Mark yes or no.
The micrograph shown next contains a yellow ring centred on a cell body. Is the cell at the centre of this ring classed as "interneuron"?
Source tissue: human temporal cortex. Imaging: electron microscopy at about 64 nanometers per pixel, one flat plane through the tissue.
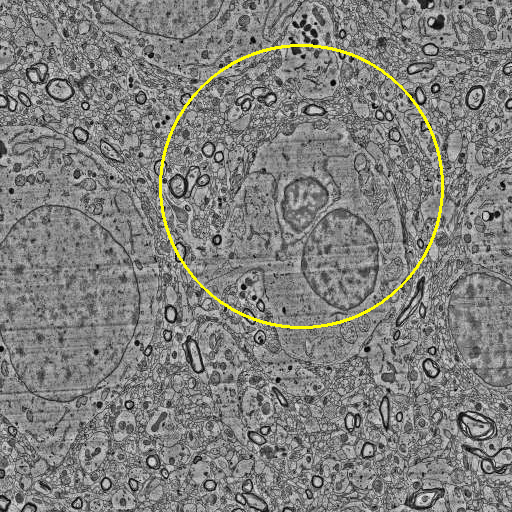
no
